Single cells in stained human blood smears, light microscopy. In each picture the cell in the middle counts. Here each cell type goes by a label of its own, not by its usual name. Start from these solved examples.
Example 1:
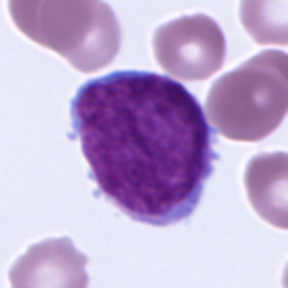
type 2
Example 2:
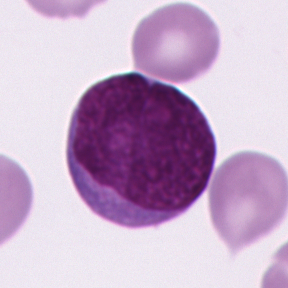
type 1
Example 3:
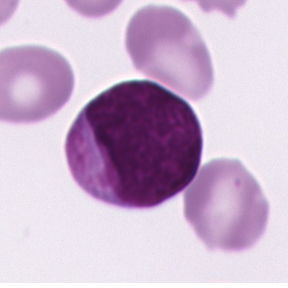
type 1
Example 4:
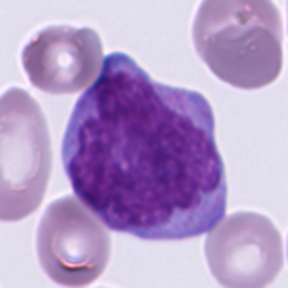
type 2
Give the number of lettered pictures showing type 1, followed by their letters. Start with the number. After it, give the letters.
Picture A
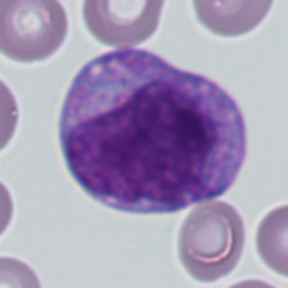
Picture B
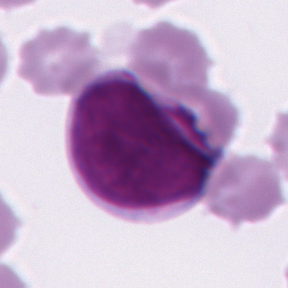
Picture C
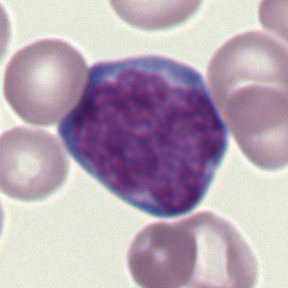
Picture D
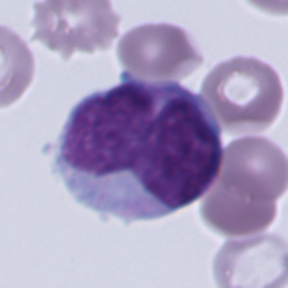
Count: 2 (B, C)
